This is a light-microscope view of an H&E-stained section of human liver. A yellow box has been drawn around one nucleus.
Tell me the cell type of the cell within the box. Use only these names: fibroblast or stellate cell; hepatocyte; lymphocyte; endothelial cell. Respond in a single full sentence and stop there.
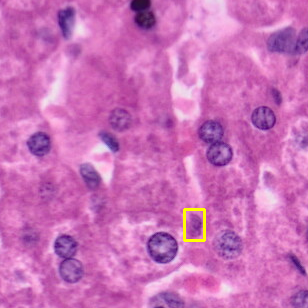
The classification of the cell within the box is as an endothelial cell.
